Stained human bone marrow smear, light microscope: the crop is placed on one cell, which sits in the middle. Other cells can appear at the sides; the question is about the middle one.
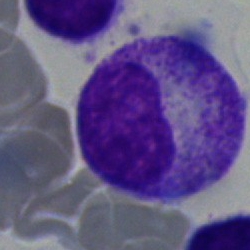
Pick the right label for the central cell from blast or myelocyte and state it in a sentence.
This crop is built around a myelocyte at its centre.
